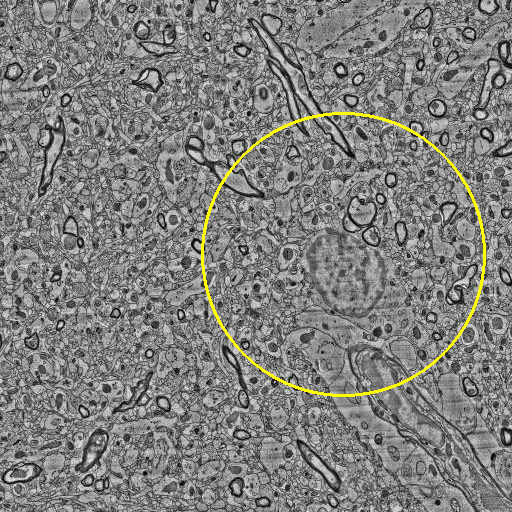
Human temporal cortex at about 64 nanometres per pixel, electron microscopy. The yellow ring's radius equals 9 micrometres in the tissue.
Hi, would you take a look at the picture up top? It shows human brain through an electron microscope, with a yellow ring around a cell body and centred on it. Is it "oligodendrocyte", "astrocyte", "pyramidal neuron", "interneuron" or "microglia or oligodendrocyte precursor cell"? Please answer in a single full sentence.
The best fit for the cell in the middle of the ring is an oligodendrocyte, I reckon.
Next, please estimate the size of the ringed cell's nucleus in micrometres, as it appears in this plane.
In this plane, the nucleus is roughly 6 by 5 micrometres.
